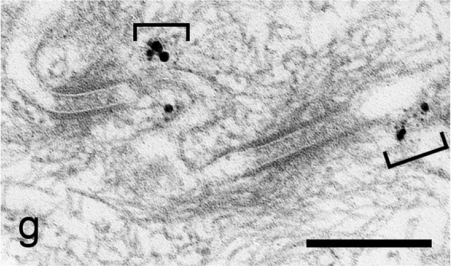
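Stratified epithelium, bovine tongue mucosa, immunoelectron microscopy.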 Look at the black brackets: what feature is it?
Puncta adhaerentia.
